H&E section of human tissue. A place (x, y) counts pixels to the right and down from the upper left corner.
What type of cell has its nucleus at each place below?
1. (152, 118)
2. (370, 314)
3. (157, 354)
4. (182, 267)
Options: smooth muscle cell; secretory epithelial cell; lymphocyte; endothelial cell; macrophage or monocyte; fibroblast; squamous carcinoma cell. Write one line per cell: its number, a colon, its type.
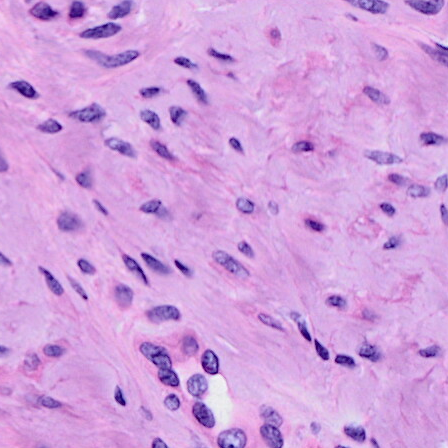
1: fibroblast
2: smooth muscle cell
3: endothelial cell
4: fibroblast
